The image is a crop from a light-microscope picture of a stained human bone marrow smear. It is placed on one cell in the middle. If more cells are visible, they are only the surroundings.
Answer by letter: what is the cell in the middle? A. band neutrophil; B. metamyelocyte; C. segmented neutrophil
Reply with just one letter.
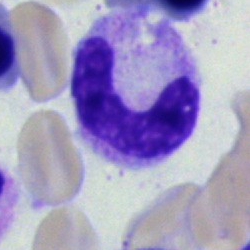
A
